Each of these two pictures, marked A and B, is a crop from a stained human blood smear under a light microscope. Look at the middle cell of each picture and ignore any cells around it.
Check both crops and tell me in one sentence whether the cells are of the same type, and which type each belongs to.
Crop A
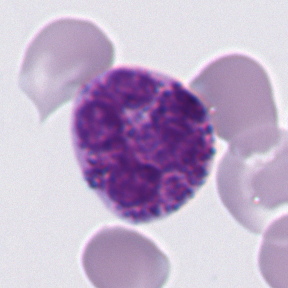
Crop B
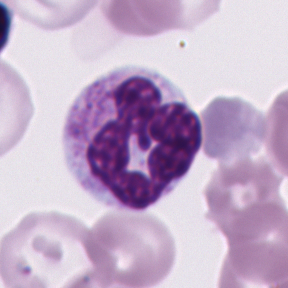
No, a basophil occupies the middle of crop A, and a neutrophil the middle of crop B.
